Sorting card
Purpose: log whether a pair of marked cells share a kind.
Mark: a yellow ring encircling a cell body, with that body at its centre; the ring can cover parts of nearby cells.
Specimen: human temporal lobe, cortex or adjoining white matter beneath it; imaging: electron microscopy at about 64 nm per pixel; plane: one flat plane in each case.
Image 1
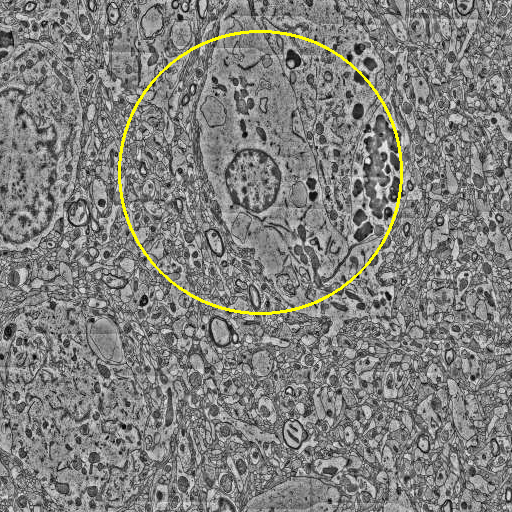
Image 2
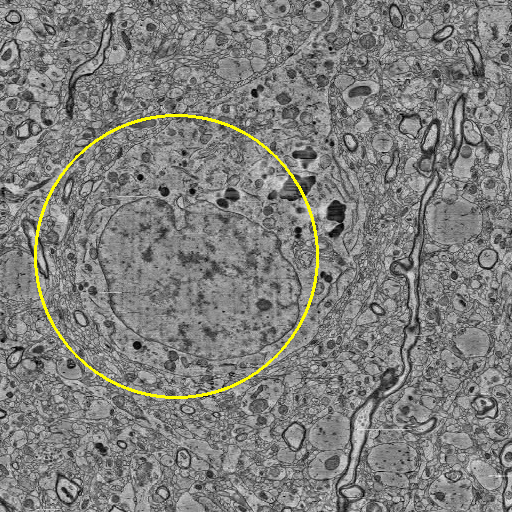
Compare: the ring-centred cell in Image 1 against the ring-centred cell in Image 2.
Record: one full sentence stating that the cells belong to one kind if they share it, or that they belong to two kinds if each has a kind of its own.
Across Images 1 and 2, the two ring-centred cells belong to two kinds.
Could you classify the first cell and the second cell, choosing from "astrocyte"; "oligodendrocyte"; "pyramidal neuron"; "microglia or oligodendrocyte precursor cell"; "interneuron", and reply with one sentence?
The second cell is an interneuron, while the first is an astrocyte.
